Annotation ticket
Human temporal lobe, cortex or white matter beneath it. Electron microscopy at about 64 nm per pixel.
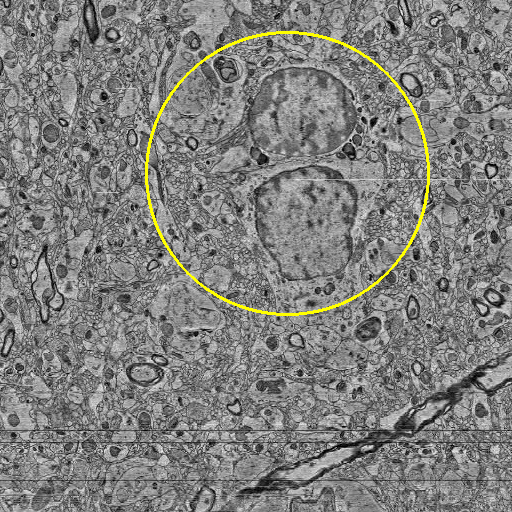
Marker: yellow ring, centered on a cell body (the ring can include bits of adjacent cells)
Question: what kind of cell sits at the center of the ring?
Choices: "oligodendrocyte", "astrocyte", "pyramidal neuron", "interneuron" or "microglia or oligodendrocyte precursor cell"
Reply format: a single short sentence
The ring is centered on a microglial cell or oligodendrocyte precursor cell.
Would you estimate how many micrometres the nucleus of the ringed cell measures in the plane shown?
About 7 micrometres across in this plane.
